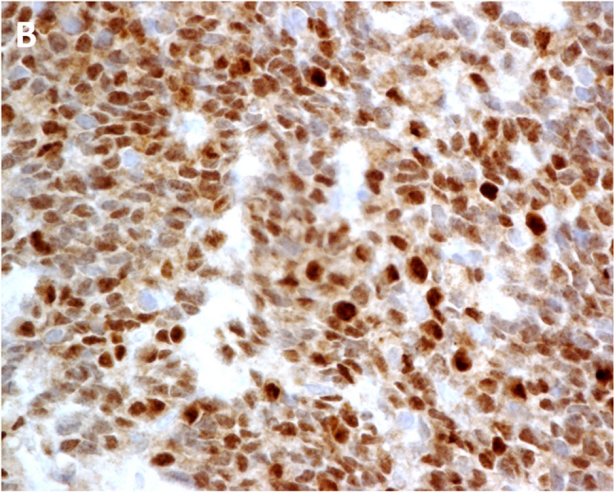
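This is a tumour composed of densely crowded round to oval tumour cells. Most of their nuclei are stained brown, with intensity ranging from pale to very dark, and several nuclei are strongly positive. A minority of nuclei take only the pale blue counterstain. The cytoplasm is scant and shows at most faint brown tinting. Irregular clear spaces separate groups of cells in places.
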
